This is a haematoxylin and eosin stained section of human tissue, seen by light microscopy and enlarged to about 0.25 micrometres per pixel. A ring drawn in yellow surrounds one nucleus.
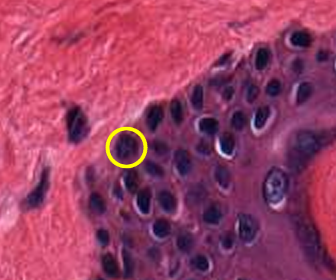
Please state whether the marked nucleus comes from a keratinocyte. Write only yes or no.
yes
